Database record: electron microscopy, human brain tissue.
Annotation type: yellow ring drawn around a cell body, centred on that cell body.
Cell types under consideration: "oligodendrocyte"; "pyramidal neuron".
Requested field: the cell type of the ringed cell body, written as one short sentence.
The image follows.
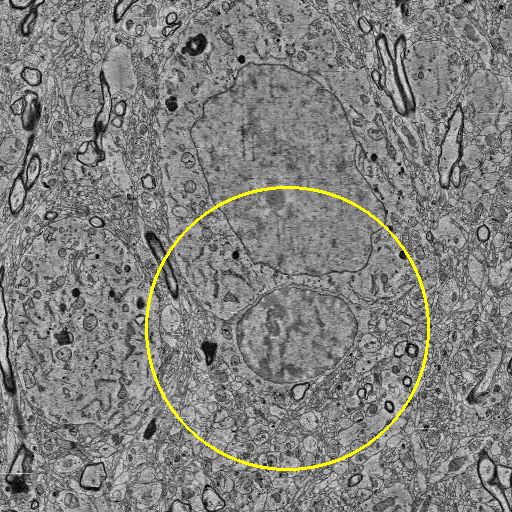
The ringed cell body represents an oligodendrocyte.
